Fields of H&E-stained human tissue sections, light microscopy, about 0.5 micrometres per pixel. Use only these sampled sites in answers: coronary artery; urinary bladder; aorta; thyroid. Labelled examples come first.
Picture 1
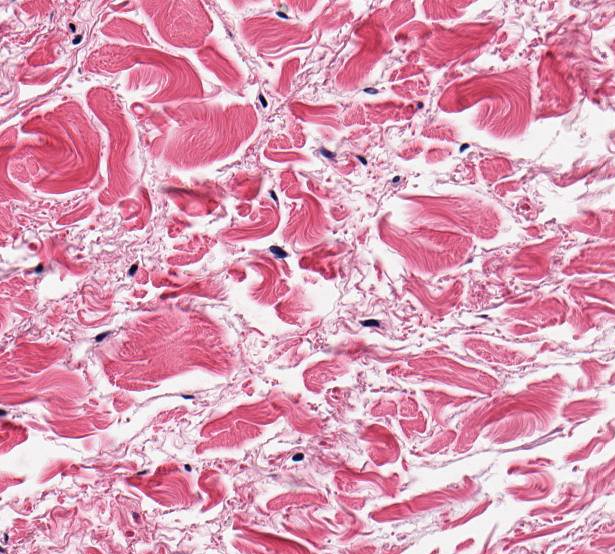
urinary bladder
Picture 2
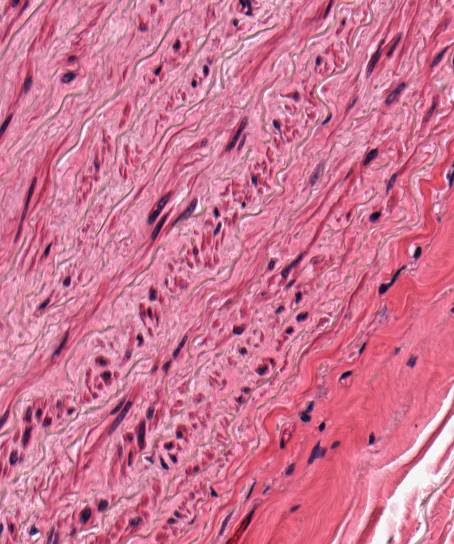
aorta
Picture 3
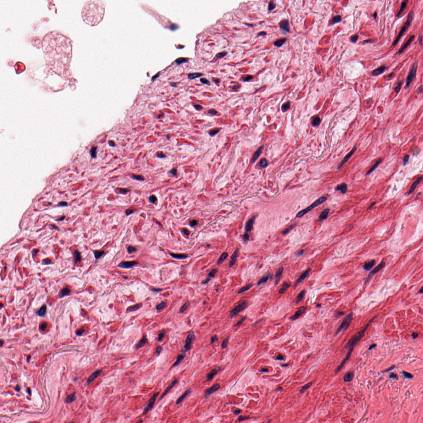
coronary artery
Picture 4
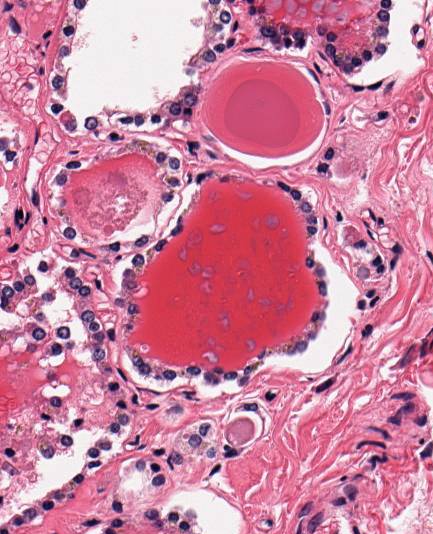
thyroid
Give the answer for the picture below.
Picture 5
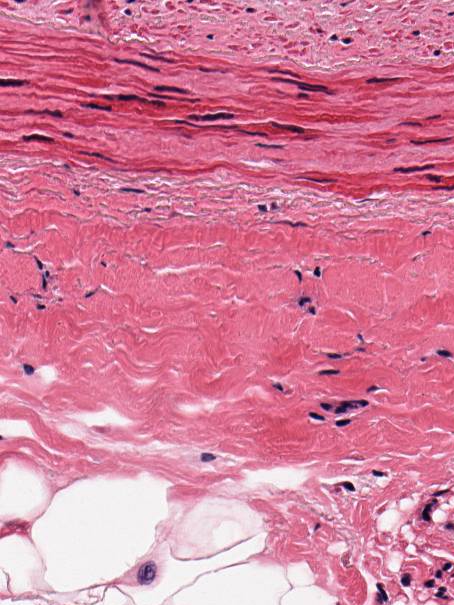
coronary artery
